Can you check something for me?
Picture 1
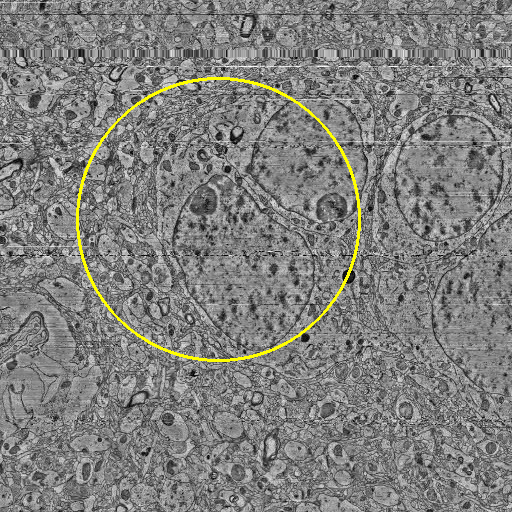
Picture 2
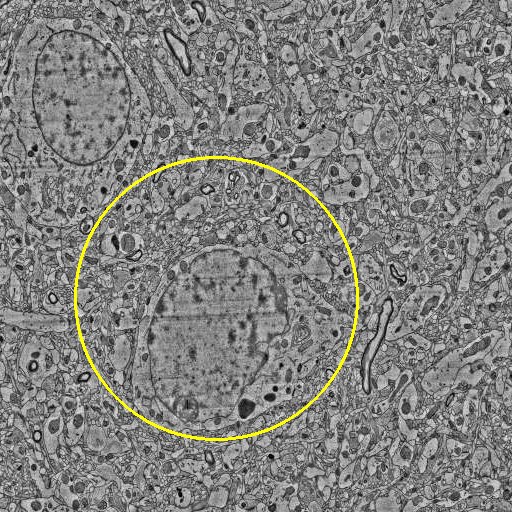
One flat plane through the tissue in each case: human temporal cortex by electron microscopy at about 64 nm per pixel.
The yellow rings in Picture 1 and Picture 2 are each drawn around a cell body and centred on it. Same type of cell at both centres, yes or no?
no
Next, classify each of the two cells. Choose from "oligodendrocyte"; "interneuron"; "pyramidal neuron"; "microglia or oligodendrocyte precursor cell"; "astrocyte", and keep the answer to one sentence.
In the first picture it is a pyramidal neuron; in the second it is an interneuron.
